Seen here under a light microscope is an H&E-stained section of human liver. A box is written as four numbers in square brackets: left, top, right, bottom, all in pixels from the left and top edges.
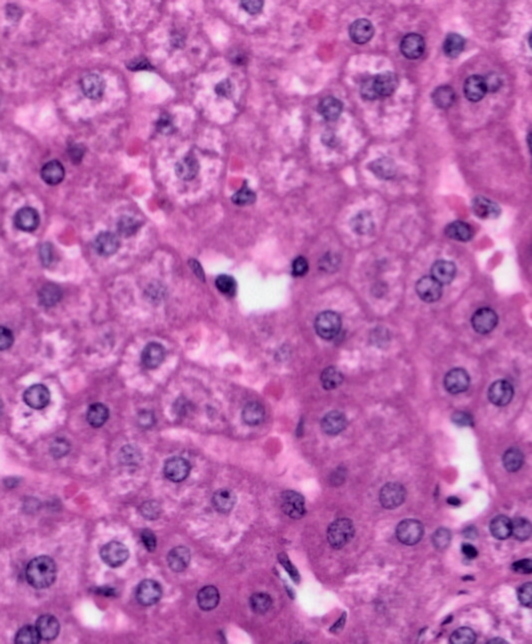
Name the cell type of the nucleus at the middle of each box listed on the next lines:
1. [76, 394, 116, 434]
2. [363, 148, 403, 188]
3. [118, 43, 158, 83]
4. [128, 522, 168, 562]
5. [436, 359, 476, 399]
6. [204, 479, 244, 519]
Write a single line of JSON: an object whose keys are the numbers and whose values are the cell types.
{"1": "hepatocyte", "2": "hepatocyte", "3": "endothelial cell", "4": "fibroblast or stellate cell", "5": "hepatocyte", "6": "hepatocyte"}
